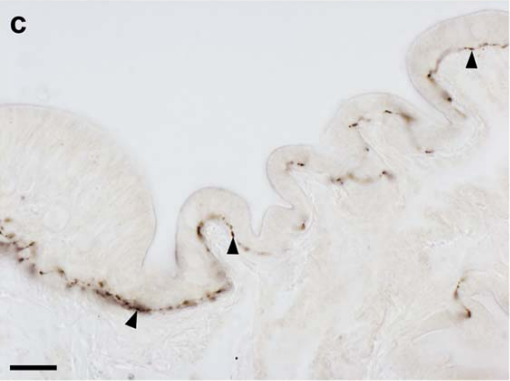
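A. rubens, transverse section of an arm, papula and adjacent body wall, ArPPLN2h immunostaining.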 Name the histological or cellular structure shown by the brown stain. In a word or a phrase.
Sub‐epidermal nerve plexus.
